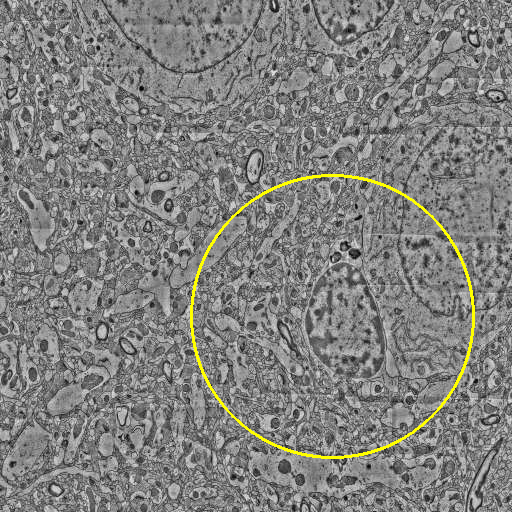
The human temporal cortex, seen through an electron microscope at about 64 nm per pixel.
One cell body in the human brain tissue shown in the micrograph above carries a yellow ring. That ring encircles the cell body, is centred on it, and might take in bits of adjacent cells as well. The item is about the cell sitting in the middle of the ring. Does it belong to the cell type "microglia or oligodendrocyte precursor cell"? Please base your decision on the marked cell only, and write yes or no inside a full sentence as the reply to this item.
Yes, the cell at the middle of the ring in the micrograph is of this kind.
